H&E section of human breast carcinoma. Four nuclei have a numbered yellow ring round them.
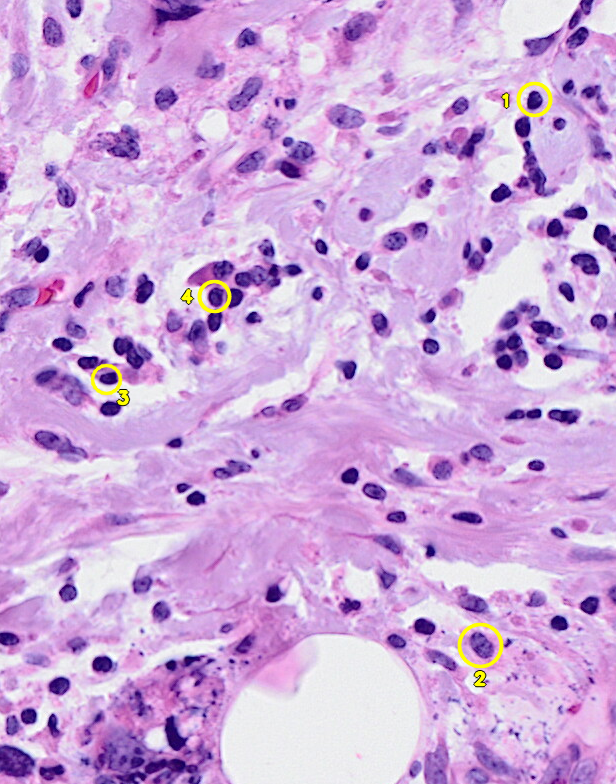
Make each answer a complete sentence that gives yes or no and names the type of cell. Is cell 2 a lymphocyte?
No, cell 2 should be read as a mast cell instead of a lymphocyte.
